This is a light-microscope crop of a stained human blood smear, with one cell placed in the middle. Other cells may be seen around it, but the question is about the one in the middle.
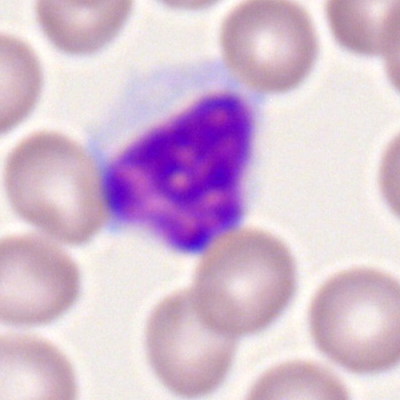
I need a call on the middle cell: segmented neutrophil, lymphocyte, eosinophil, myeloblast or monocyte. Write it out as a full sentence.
The middle cell in this particular crop is a lymphocyte.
